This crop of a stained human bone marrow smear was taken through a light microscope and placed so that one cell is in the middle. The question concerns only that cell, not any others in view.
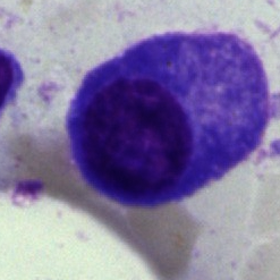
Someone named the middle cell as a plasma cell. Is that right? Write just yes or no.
yes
